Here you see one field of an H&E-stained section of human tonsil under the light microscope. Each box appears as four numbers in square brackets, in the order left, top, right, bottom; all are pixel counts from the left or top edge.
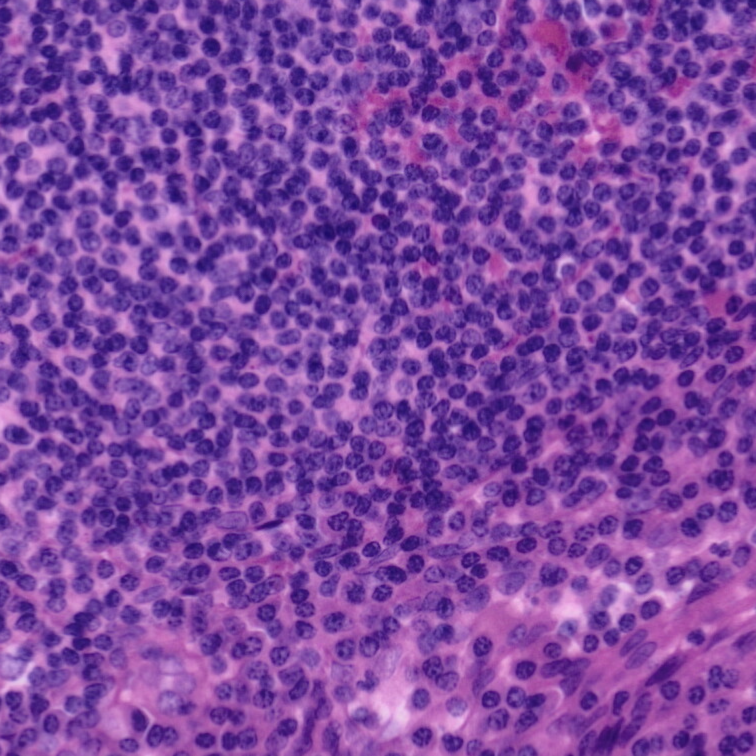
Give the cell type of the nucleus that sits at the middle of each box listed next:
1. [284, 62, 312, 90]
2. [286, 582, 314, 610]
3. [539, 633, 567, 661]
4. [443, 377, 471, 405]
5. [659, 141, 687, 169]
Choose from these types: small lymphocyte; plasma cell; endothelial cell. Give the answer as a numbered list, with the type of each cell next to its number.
1. small lymphocyte
2. plasma cell
3. plasma cell
4. small lymphocyte
5. small lymphocyte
